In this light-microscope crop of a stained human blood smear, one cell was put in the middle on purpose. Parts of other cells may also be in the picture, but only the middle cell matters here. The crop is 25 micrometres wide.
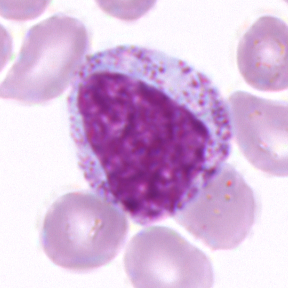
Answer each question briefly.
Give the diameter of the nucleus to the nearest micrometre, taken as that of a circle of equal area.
11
